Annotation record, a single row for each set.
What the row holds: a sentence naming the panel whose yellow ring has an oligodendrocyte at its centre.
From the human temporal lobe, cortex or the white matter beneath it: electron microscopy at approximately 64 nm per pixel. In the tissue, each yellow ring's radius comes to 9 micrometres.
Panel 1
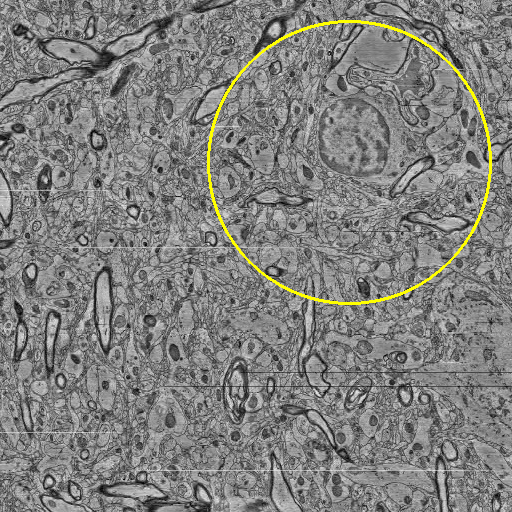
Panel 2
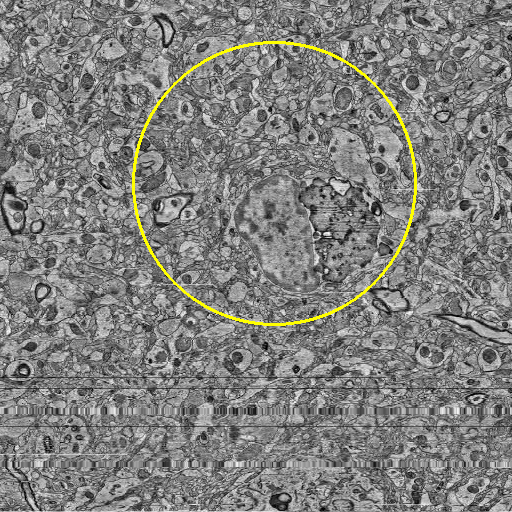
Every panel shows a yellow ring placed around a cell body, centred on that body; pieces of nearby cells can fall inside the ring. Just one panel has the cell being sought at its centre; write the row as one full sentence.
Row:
In panel 1, the cell at the middle of the yellow ring is the one sought.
